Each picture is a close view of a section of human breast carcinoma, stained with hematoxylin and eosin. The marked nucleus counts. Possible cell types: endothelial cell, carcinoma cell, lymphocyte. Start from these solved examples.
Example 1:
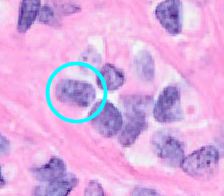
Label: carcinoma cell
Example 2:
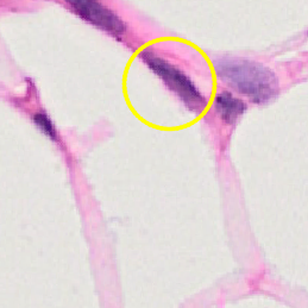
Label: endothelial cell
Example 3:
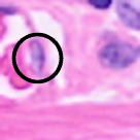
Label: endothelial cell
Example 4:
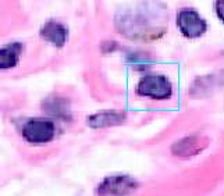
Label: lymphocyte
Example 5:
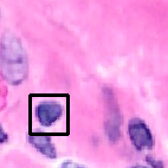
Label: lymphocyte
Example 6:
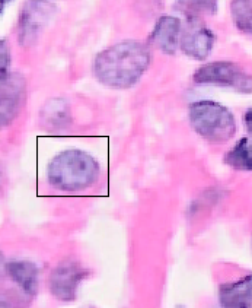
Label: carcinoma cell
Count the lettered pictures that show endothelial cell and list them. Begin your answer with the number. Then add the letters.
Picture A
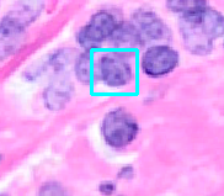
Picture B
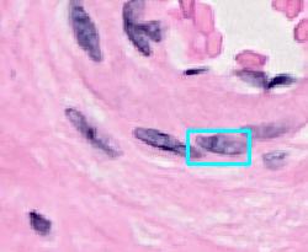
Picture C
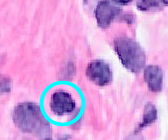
Count: 1 (B)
